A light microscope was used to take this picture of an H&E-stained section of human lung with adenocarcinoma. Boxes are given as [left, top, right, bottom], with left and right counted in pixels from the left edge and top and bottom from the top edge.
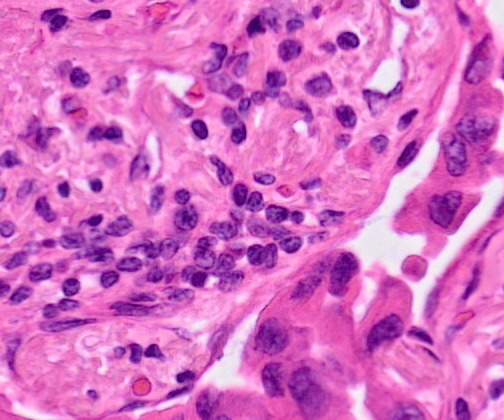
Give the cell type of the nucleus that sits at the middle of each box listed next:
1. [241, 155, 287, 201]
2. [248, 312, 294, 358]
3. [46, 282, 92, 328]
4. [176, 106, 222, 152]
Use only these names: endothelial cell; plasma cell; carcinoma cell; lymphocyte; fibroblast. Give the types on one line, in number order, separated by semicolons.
lymphocyte; carcinoma cell; lymphocyte; lymphocyte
